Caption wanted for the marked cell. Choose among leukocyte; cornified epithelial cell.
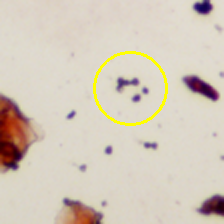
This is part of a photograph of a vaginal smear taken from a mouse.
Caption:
Ringed in yellow is a leukocyte.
